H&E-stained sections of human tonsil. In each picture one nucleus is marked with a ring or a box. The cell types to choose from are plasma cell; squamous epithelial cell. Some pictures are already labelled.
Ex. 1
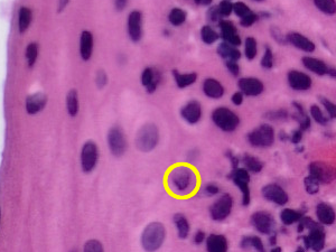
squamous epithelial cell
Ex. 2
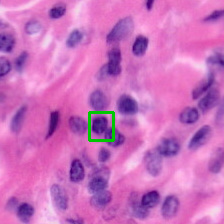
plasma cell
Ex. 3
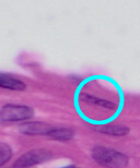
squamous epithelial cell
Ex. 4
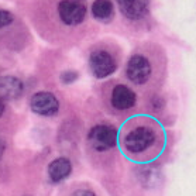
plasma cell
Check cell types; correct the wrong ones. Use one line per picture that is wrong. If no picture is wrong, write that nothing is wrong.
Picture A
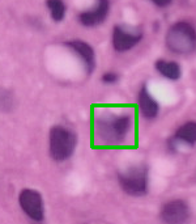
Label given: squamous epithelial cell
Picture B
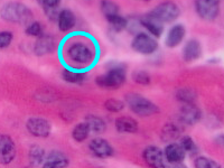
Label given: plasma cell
Nothing to fix; every label fits.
